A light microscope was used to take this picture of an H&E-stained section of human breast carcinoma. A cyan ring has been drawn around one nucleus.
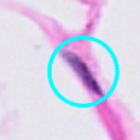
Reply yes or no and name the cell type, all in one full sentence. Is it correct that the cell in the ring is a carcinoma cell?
No, the cell in the ring is an endothelial cell and should not be read as a carcinoma cell.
